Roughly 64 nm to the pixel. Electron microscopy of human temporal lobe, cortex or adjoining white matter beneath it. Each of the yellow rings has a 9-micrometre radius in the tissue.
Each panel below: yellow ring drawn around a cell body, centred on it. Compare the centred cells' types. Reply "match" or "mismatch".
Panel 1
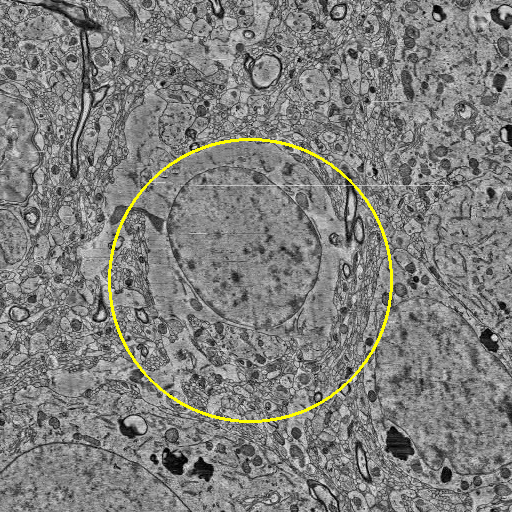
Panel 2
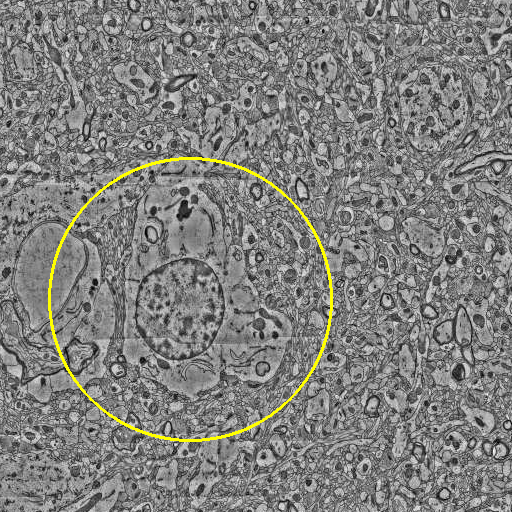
match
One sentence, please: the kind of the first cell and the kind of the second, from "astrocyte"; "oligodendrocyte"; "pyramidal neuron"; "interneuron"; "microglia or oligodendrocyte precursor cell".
The cell at the ring centre is an astrocyte in both pictures.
